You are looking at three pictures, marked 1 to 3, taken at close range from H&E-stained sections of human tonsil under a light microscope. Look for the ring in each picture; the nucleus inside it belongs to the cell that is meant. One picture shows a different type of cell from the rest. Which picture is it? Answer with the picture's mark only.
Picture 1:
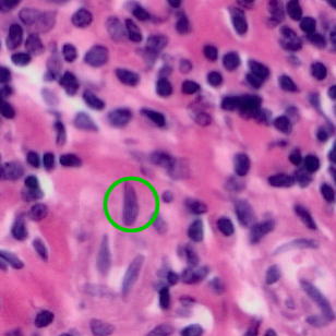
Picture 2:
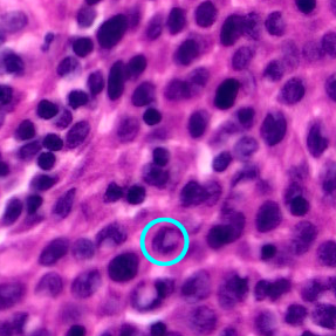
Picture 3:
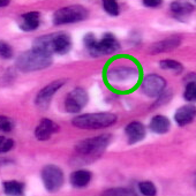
2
